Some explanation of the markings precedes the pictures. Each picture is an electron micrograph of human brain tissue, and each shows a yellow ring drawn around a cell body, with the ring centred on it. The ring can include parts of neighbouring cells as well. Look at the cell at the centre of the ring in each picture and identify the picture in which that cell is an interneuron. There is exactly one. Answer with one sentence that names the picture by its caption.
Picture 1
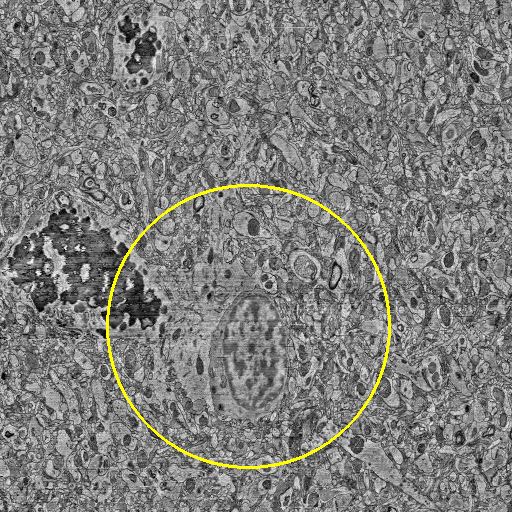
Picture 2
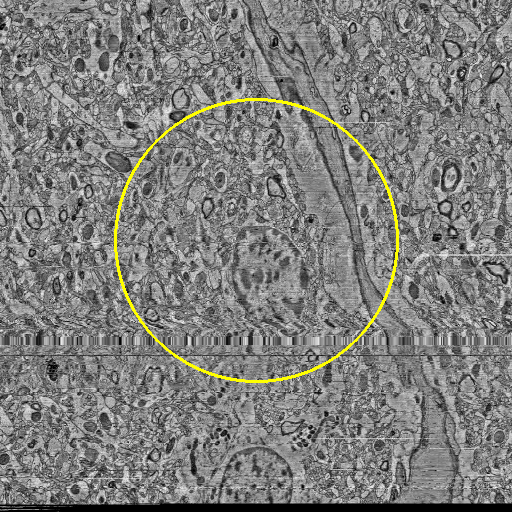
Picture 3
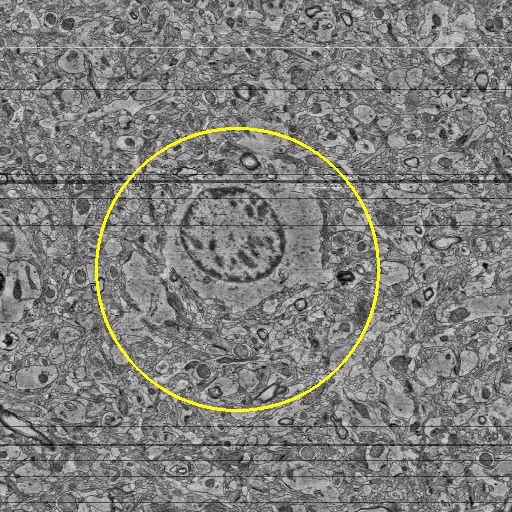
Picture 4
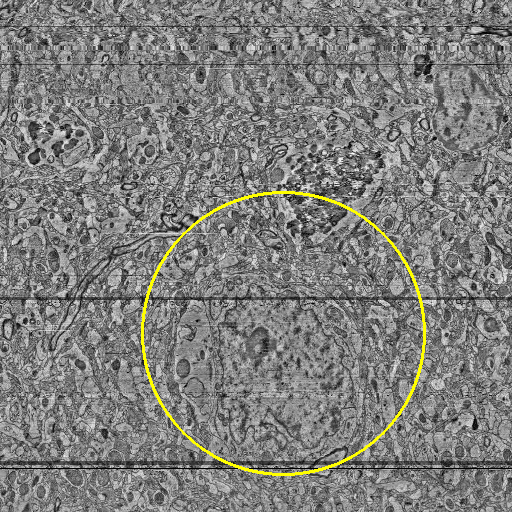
In Picture 4, the cell at the centre of the ring is of that kind.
